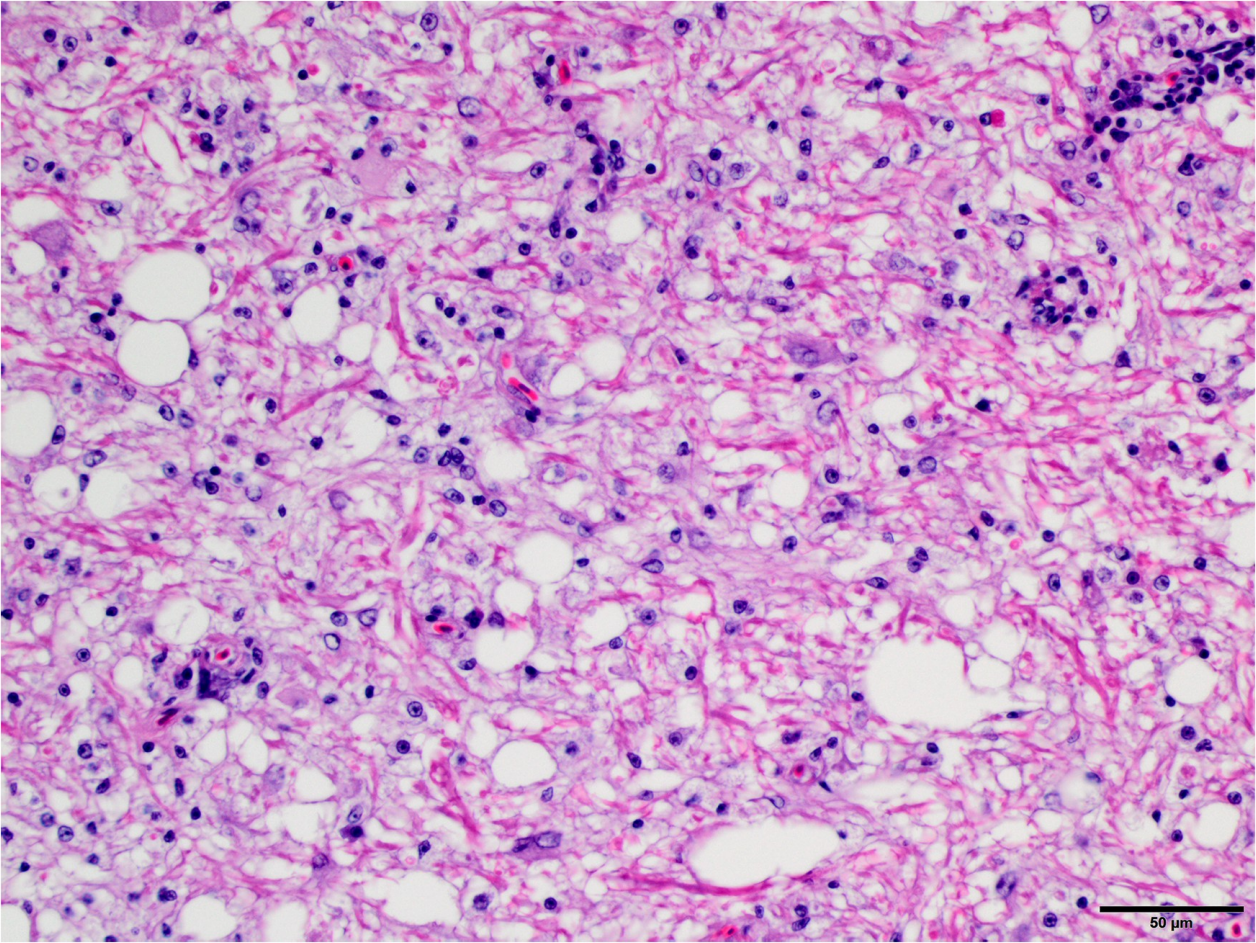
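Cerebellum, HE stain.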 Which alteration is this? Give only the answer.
Vacuolization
